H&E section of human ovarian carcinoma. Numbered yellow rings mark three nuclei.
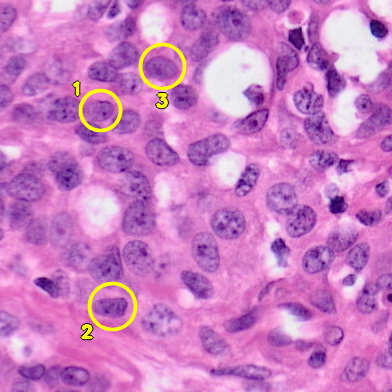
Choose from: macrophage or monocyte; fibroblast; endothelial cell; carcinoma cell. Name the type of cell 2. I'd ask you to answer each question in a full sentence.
In this section, the cell tagged 2 is a macrophage or monocyte.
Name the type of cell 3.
The cell pointed out as number 3 is a carcinoma cell.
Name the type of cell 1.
The identity of cell 1 is that of a carcinoma cell.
